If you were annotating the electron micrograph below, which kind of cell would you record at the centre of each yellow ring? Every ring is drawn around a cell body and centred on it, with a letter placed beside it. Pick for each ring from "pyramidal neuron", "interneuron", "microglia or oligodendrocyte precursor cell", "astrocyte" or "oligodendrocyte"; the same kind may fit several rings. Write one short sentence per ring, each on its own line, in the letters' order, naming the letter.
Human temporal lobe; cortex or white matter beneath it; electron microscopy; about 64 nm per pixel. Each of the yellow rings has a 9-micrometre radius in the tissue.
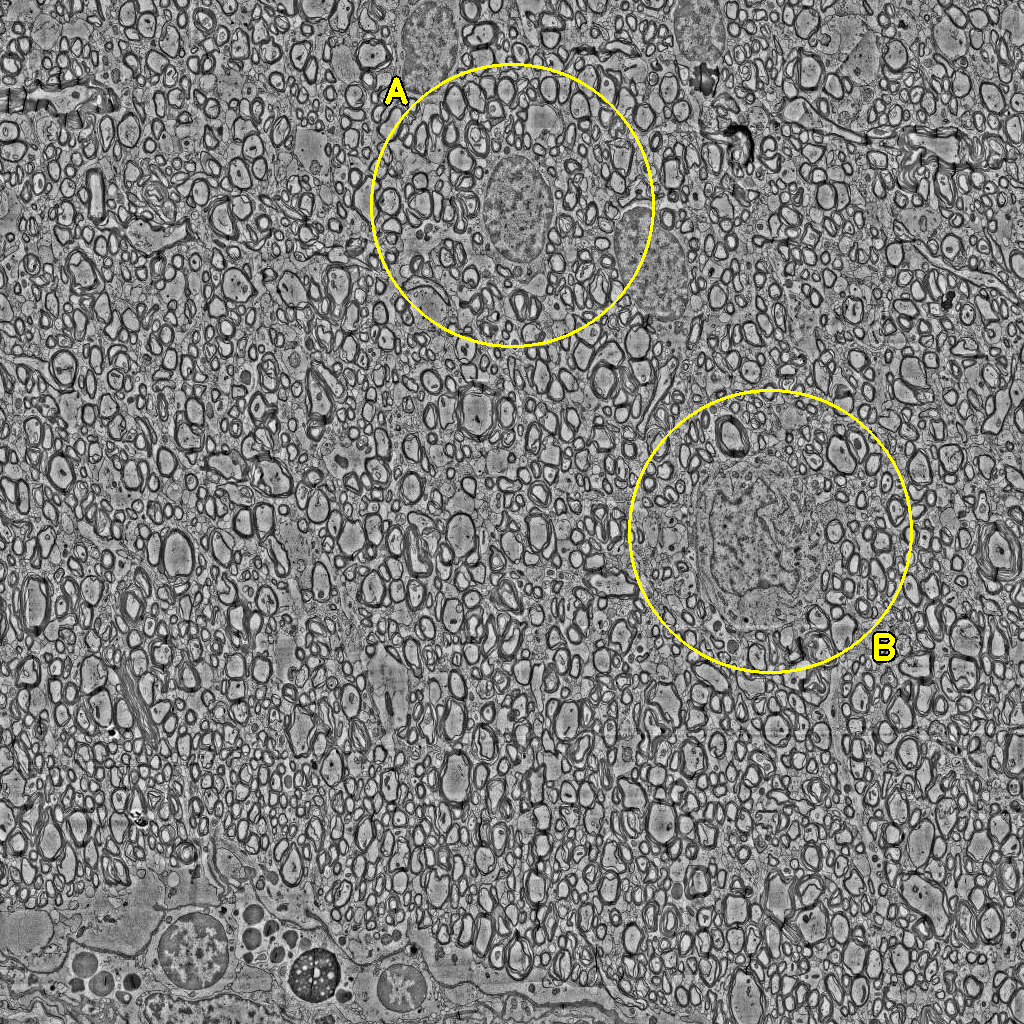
For ring A, I would record an oligodendrocyte.
For ring B, I would record an interneuron.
